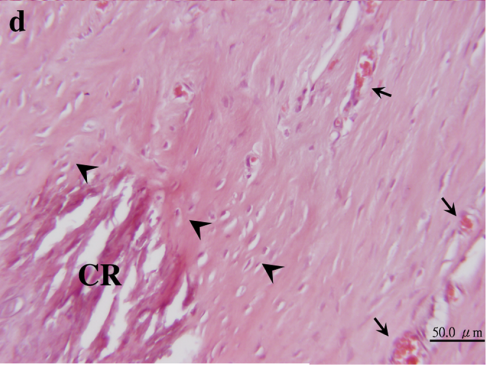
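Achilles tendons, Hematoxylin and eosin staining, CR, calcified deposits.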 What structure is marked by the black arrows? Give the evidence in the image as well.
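Small lumens lined by flat cells. The lumens contain red-staining blood cells.
Vascular structure.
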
